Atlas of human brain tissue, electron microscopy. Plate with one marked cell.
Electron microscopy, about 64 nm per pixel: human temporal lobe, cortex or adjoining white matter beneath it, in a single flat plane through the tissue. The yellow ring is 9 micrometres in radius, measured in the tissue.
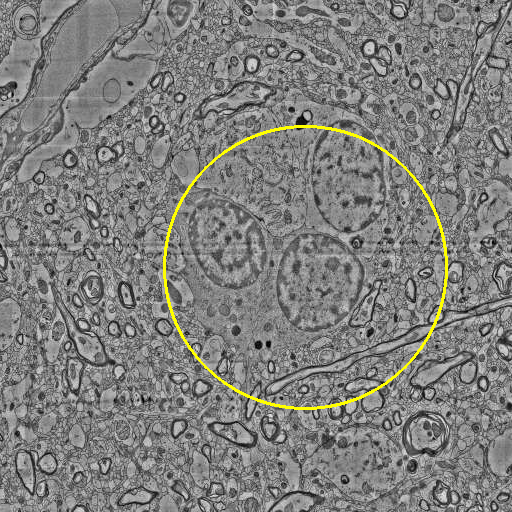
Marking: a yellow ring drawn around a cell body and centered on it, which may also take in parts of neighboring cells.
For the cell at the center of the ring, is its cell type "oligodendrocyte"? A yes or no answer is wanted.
Yes, that is its cell type.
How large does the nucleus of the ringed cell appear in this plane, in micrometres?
The nucleus comes to roughly 6 by 5 micrometres in this plane.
